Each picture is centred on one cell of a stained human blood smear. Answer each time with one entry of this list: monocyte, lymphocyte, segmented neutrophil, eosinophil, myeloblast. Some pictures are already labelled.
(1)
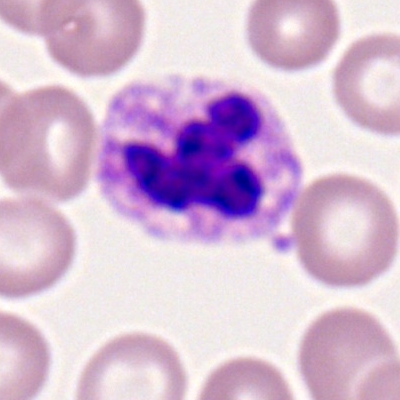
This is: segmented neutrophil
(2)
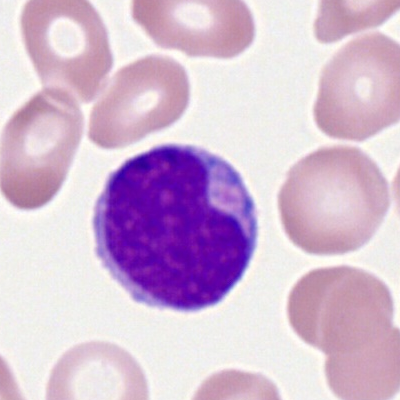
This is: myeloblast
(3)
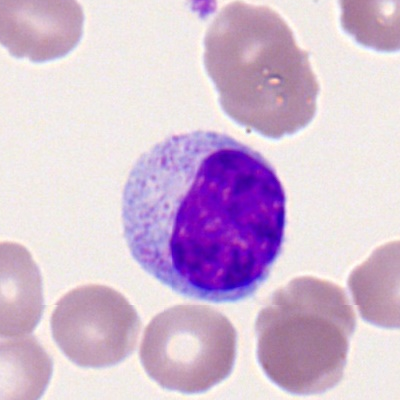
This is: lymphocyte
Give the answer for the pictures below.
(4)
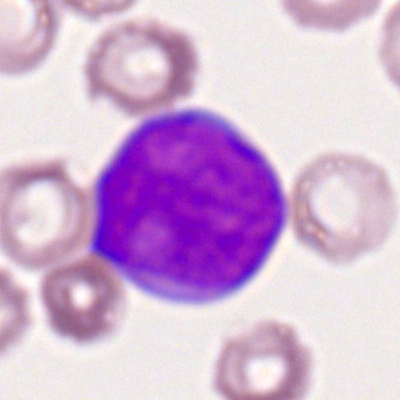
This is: myeloblast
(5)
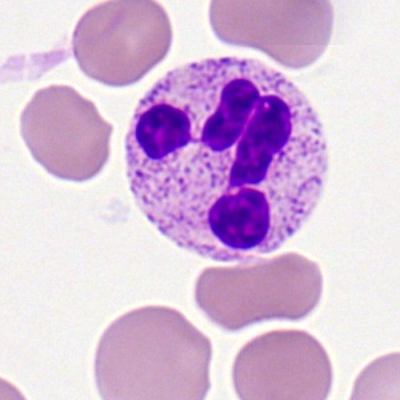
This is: segmented neutrophil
